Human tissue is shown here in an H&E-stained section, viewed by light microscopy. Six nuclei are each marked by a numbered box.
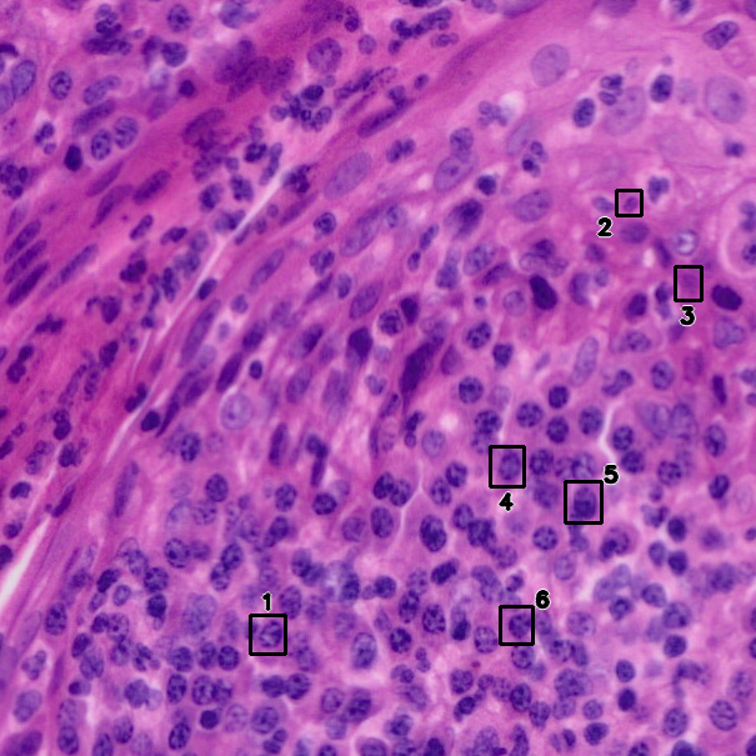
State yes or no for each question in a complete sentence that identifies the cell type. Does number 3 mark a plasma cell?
No, cell 3 is not to be taken for a plasma cell; it is a squamous epithelial cell.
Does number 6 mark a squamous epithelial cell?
No, number 6 points to a plasma cell and not to a squamous epithelial cell.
